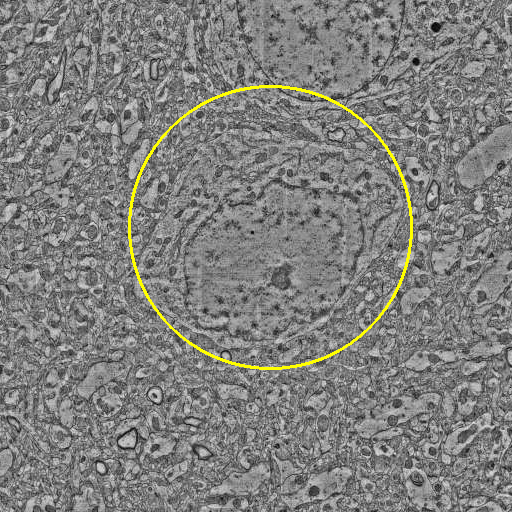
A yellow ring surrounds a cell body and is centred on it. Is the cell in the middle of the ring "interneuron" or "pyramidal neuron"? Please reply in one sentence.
The ring is centred on an interneuron.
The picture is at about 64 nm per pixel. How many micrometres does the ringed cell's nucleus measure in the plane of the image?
In this plane the nucleus measures roughly 13 by 10 micrometres.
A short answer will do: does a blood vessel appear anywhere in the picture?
No, no blood vessel can be seen.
